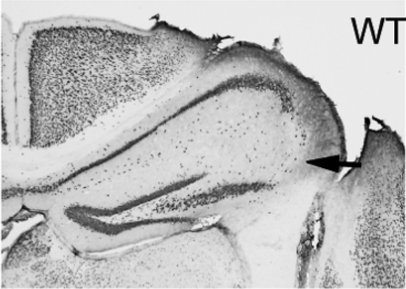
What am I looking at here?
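A curved, C-shaped band of tightly packed pyramidal neurons runs through the field, and a V-shaped dark band of densely packed granule cells lies inside its lower curve. Above the hippocampus, the cortex shows many scattered dark neurons in a broad layer. Toward the right end of the curved pyramidal band, where the arrow points, the dark neuronal layer becomes thin and pale, indicating loss of neurons in this part of the band. The overlying tissue at this site is irregular and disrupted, with a darkened, ragged edge.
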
